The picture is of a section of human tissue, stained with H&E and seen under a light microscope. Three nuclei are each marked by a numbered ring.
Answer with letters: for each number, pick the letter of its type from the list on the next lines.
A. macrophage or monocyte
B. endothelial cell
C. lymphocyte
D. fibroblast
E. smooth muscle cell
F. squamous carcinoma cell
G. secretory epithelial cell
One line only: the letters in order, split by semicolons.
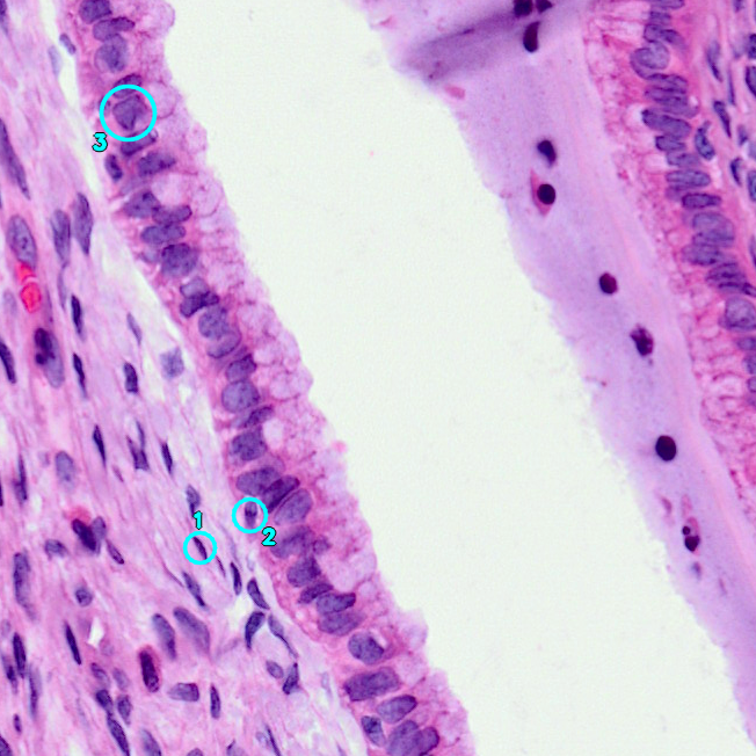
D; G; G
